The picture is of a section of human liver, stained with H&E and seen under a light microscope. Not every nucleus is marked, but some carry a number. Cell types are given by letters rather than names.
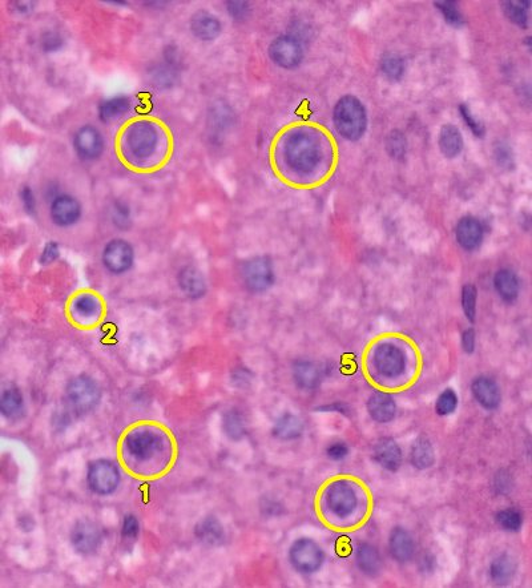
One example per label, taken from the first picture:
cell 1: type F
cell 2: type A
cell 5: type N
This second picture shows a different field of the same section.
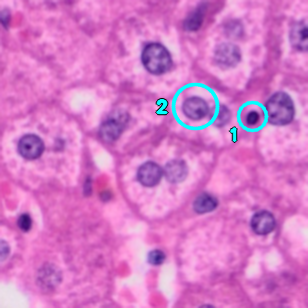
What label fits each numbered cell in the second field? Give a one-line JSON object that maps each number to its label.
{"1": "type A", "2": "type N"}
